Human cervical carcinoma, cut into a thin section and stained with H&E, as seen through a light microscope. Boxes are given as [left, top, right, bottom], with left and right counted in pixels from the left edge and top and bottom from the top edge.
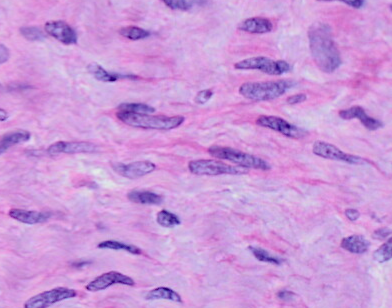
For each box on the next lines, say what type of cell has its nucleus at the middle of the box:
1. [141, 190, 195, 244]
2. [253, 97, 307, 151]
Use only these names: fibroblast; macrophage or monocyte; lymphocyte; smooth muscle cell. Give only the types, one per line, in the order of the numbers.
fibroblast
smooth muscle cell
